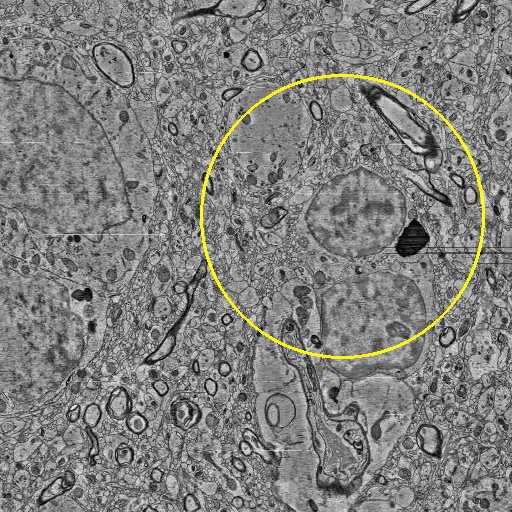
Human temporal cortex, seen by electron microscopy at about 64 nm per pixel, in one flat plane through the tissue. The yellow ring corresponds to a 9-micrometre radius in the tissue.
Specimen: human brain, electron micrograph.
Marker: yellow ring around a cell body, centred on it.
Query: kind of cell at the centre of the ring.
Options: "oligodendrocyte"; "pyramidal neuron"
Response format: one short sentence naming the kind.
This cell body belongs to an oligodendrocyte.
